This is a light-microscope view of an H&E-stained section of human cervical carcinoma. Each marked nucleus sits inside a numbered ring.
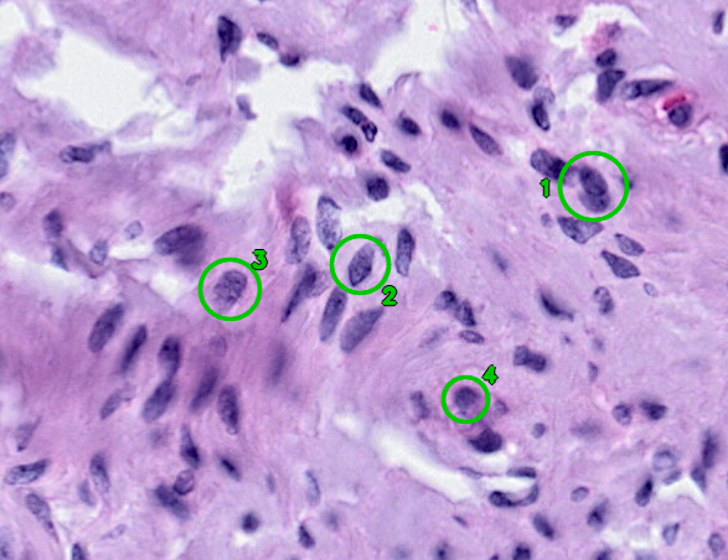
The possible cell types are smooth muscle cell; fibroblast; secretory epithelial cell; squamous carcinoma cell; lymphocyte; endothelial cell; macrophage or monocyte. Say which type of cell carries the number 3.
fibroblast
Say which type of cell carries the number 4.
endothelial cell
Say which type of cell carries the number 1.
fibroblast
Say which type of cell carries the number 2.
fibroblast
